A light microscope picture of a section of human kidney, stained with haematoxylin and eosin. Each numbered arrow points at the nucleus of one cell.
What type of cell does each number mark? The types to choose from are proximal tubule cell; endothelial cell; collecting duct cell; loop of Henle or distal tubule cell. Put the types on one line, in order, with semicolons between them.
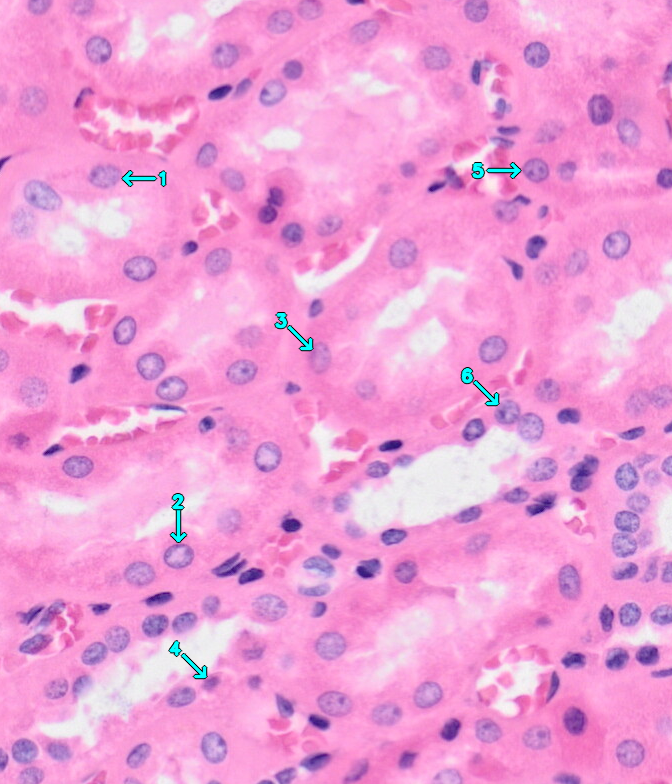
proximal tubule cell; proximal tubule cell; proximal tubule cell; loop of Henle or distal tubule cell; proximal tubule cell; loop of Henle or distal tubule cell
